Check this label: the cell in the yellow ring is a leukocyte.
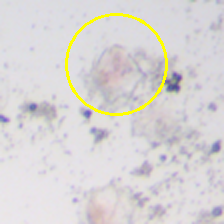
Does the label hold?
The label does not hold; the cell is a cornified epithelial cell.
